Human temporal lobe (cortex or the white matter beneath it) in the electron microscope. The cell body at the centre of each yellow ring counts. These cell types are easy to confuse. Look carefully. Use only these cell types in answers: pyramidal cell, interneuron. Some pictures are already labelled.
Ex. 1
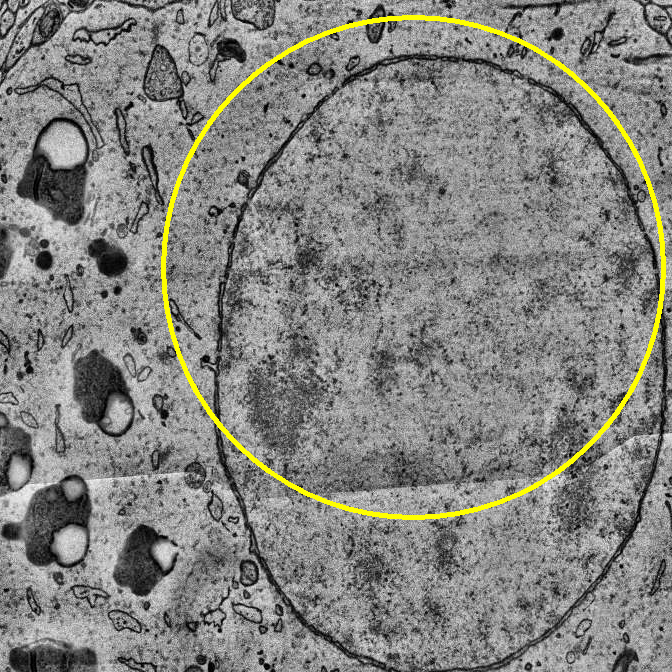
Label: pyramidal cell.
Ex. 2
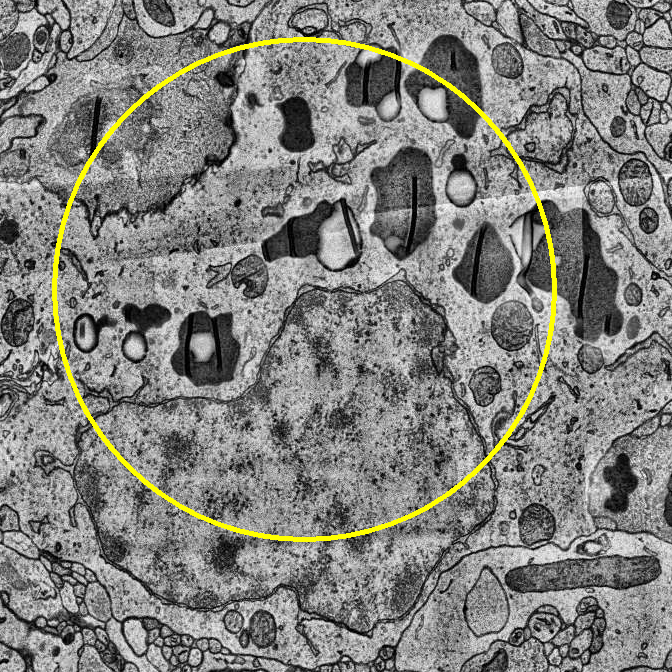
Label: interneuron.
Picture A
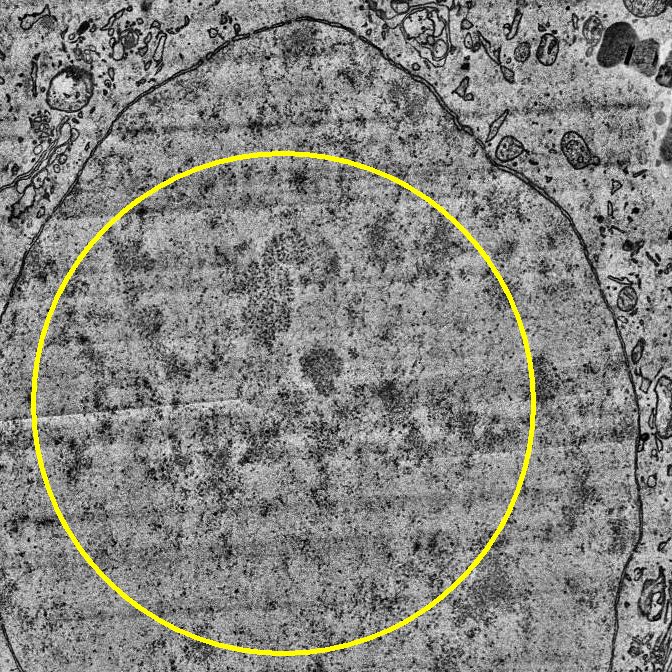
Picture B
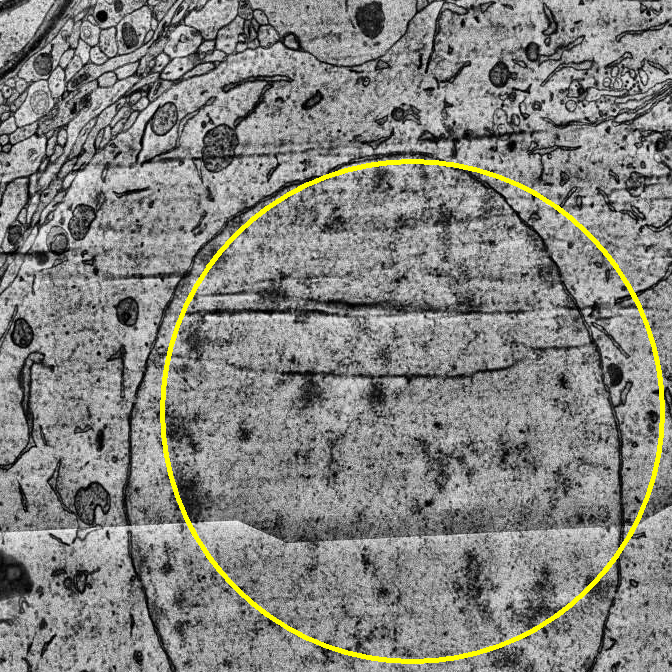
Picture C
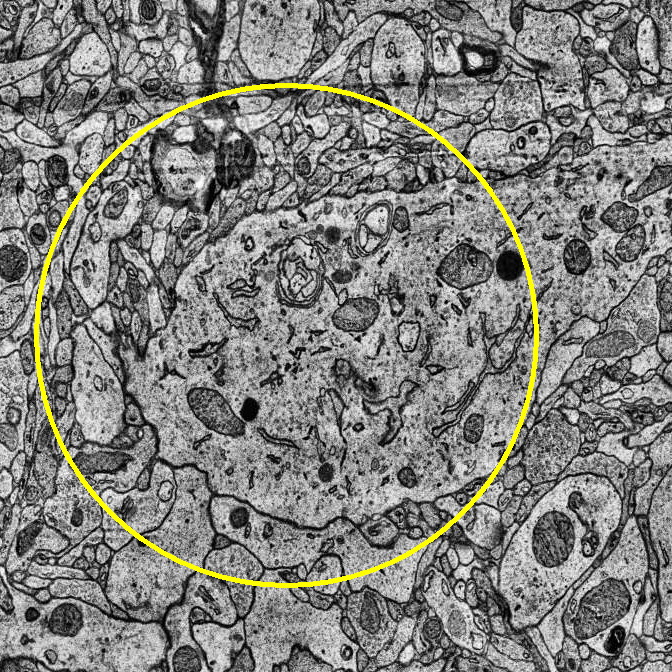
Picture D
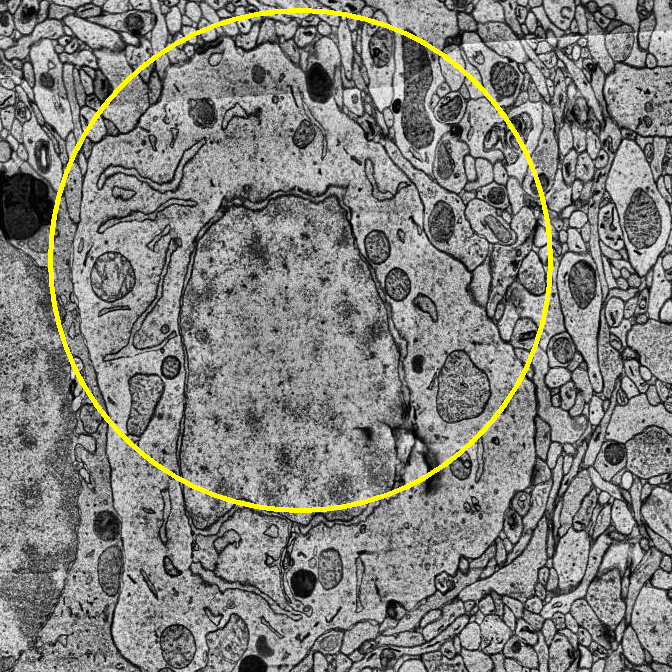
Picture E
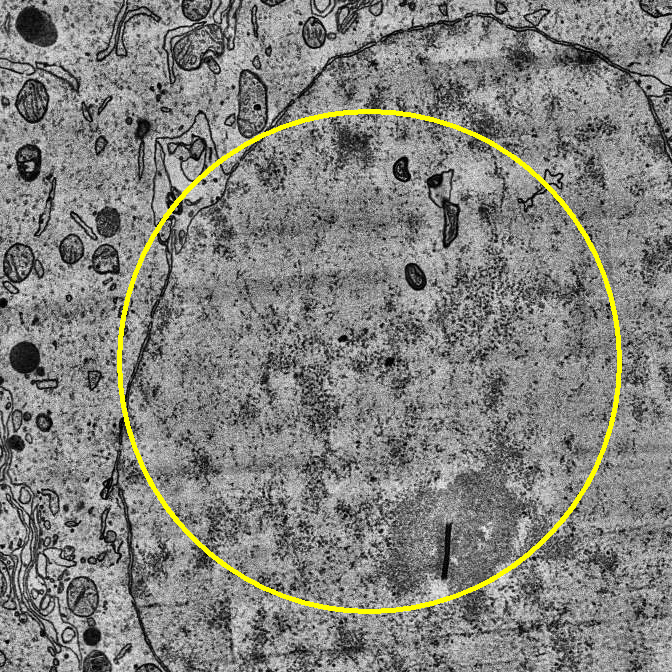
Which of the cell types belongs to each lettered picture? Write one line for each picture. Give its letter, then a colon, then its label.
A: pyramidal cell.
B: pyramidal cell.
C: interneuron.
D: interneuron.
E: pyramidal cell.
